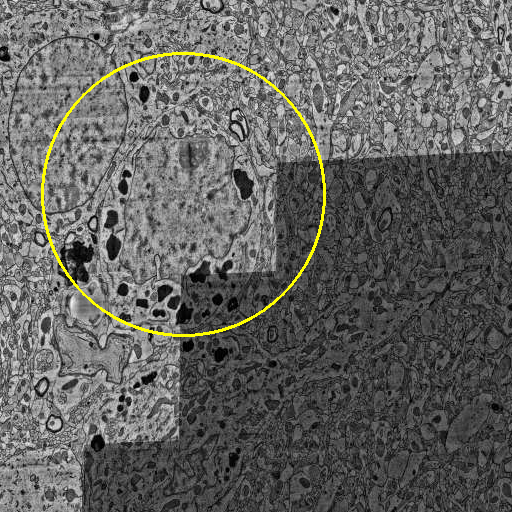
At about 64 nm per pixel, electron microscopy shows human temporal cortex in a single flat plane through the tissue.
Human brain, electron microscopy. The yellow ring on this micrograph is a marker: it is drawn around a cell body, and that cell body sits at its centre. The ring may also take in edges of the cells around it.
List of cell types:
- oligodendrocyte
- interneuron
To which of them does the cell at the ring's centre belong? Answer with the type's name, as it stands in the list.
interneuron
